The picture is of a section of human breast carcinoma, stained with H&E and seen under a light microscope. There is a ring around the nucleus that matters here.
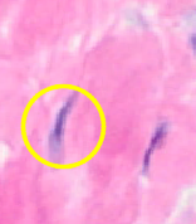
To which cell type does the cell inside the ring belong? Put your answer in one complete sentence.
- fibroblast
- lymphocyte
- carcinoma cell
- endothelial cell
The cell type represented by the cell inside the ring is that of a fibroblast.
